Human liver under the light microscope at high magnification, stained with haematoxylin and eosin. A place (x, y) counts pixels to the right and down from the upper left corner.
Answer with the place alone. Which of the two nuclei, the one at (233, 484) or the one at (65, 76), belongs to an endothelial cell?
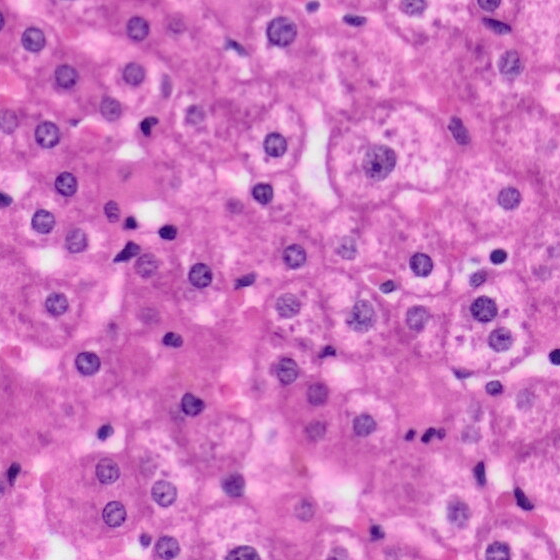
(233, 484)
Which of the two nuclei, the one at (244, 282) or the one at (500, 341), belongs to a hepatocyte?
(500, 341)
